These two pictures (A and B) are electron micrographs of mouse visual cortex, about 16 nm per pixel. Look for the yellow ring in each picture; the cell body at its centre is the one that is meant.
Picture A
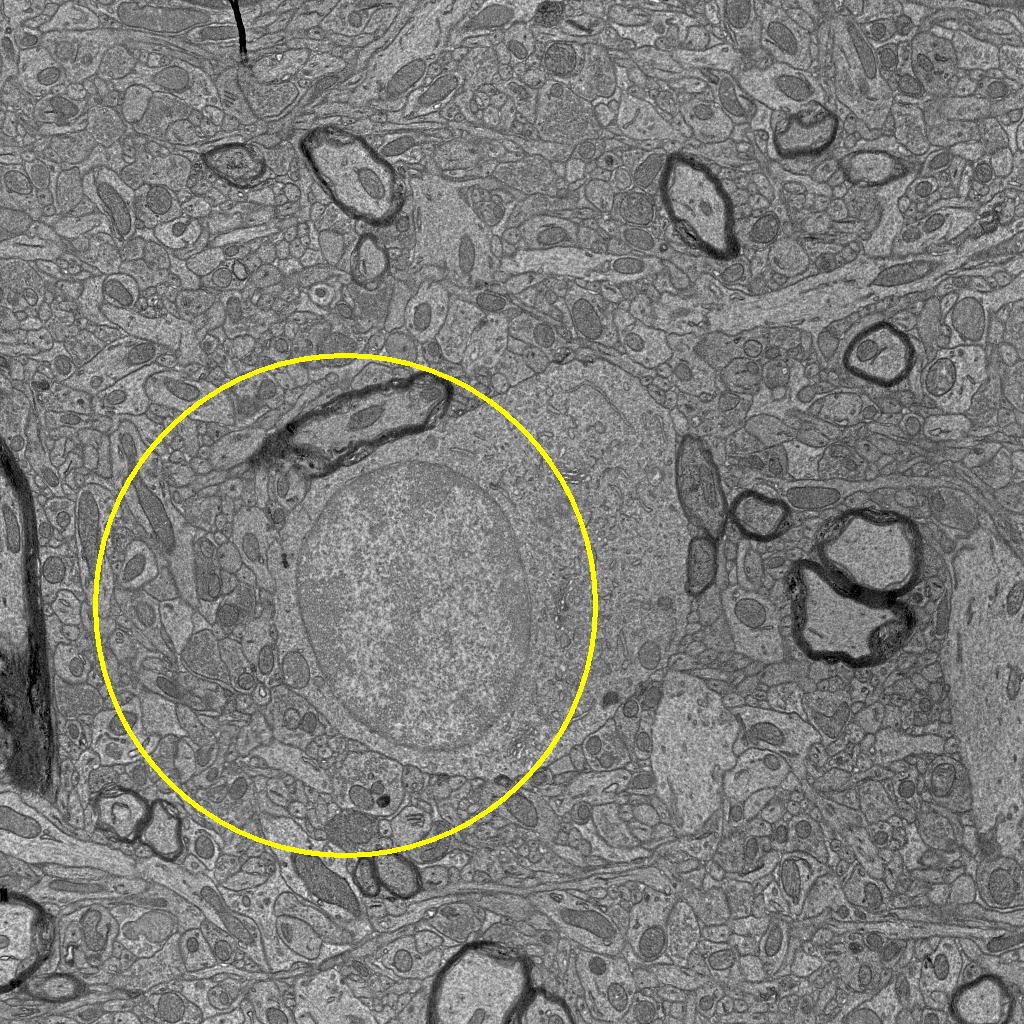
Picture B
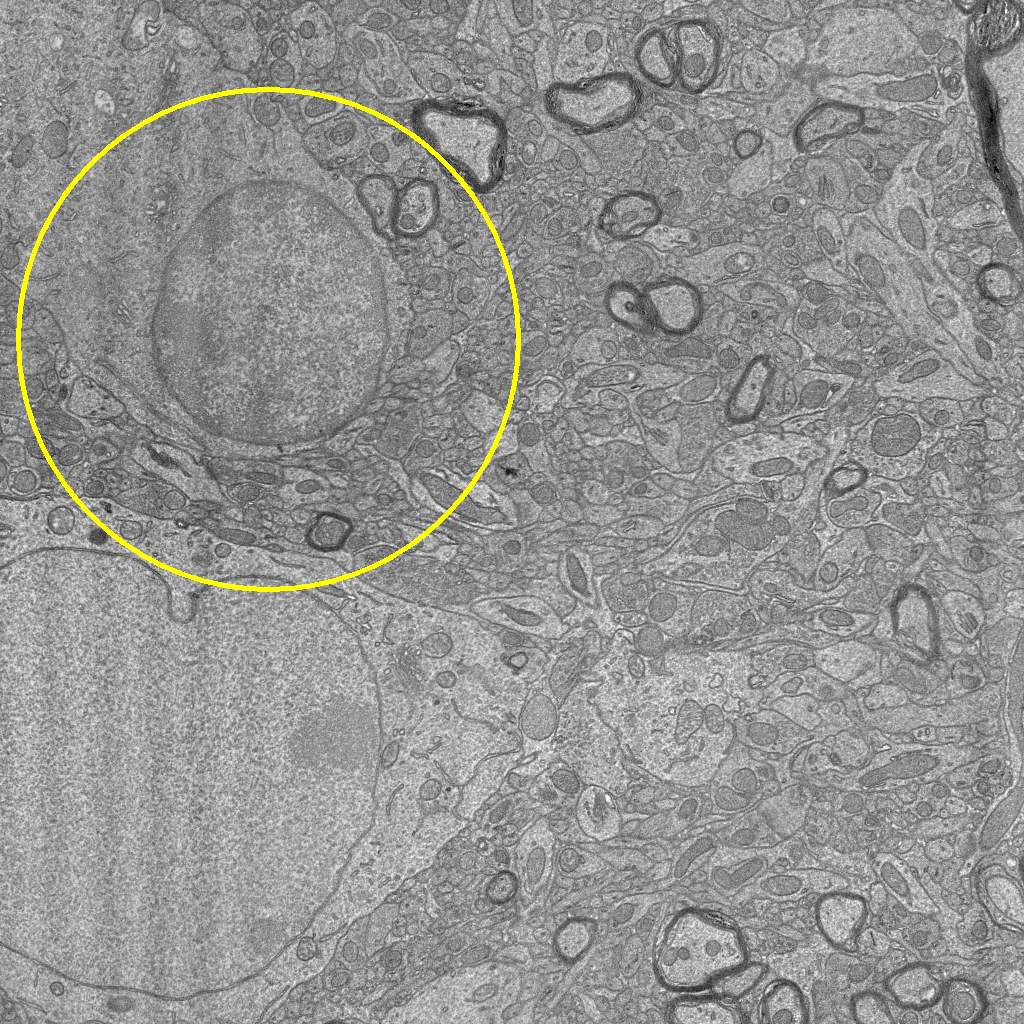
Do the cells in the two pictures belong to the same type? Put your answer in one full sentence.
Yes, both are oligodendrocytes.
